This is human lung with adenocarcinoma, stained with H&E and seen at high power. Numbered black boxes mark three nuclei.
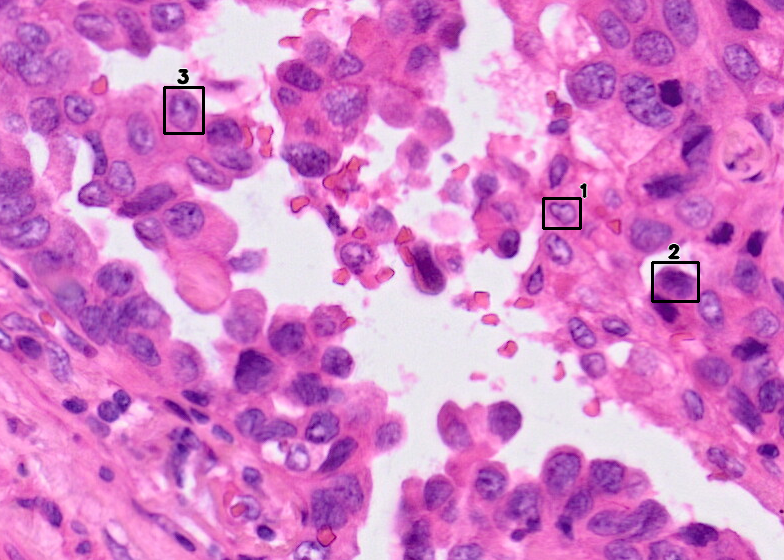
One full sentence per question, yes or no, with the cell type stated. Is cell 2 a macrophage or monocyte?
No, the cell identified by number 2 is a carcinoma cell, not a macrophage or monocyte.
